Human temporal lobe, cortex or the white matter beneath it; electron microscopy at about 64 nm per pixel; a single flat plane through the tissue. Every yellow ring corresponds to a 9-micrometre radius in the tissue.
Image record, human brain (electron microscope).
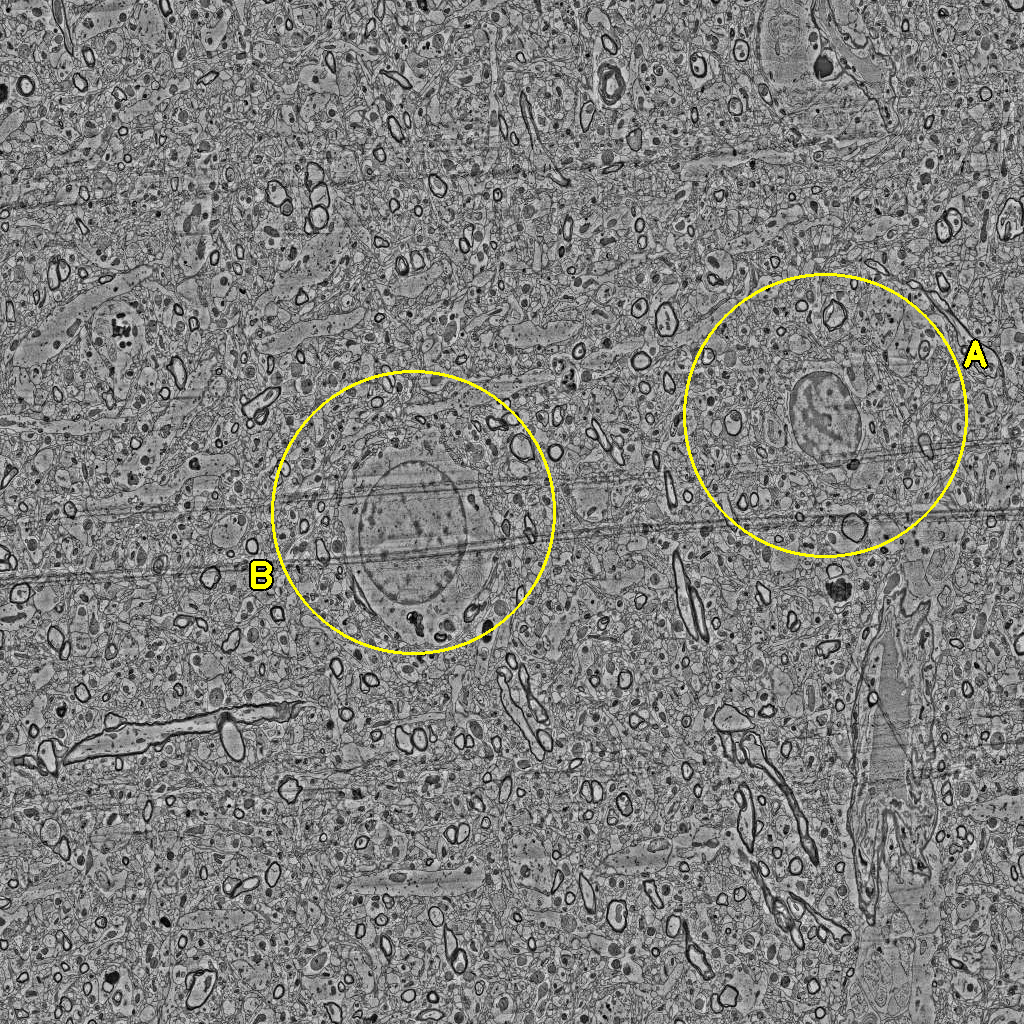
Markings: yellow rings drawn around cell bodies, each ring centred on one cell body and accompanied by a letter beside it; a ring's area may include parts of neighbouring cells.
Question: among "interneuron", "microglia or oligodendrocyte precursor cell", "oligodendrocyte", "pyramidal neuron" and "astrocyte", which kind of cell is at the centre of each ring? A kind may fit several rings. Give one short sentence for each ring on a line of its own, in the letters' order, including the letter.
Ring A is centred on the cell body of a microglial cell or oligodendrocyte precursor cell.
Ring B is centred on the cell body of an astrocyte.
